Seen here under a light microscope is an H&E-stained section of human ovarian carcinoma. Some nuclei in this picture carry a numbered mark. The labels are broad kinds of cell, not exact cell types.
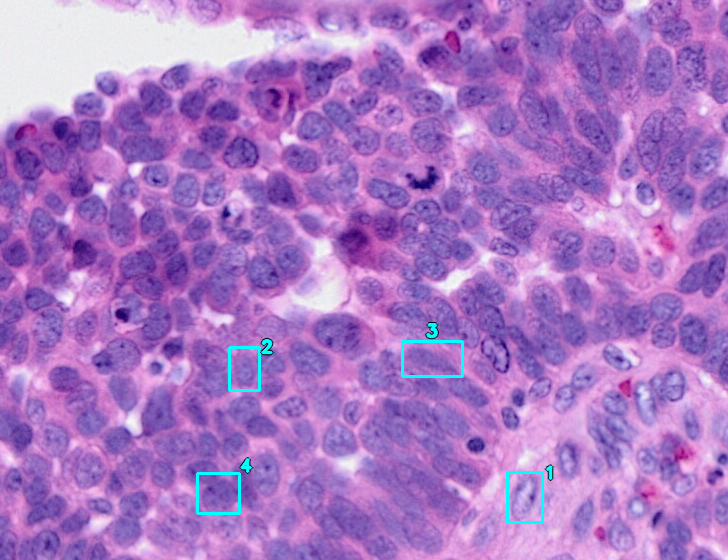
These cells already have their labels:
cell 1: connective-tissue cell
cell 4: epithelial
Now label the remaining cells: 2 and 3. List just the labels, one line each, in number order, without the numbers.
epithelial
epithelial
